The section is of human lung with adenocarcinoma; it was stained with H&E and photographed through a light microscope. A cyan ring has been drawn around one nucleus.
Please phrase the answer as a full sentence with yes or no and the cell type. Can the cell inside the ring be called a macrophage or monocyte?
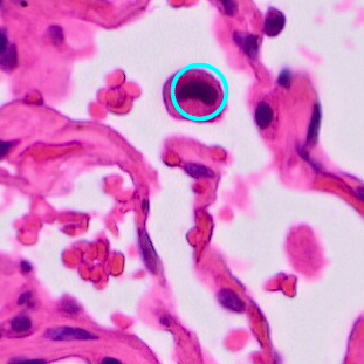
Yes, the cell inside the ring is identified as a macrophage or monocyte in this section.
